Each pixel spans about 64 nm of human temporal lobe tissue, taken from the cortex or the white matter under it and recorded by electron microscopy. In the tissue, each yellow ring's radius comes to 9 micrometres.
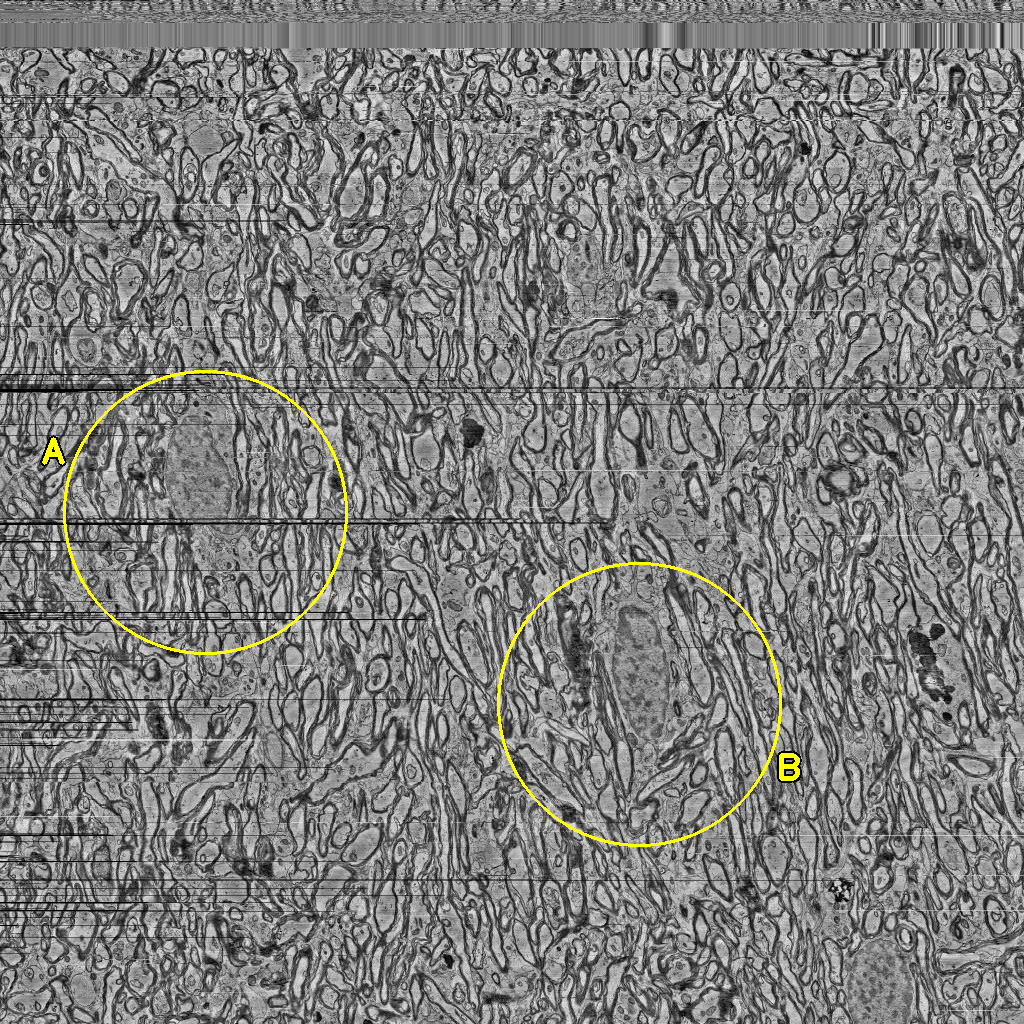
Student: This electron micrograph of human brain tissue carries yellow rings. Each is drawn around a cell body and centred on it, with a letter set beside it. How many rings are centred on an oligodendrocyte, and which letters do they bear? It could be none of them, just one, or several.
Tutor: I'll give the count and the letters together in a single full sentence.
Identified by the letters A and B, two rings are each centred on an oligodendrocyte.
